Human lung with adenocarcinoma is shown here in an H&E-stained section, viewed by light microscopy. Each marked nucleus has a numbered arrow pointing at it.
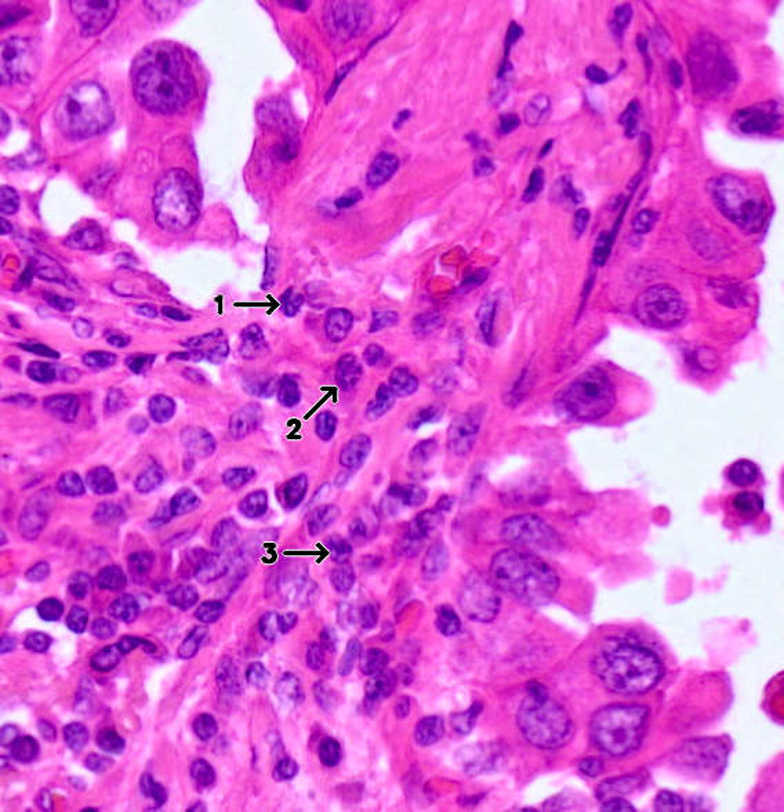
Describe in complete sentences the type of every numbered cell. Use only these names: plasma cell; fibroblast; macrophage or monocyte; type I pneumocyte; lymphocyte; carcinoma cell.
Cell 1 is a lymphocyte, cell 2 is a plasma cell and cell 3 is a lymphocyte.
